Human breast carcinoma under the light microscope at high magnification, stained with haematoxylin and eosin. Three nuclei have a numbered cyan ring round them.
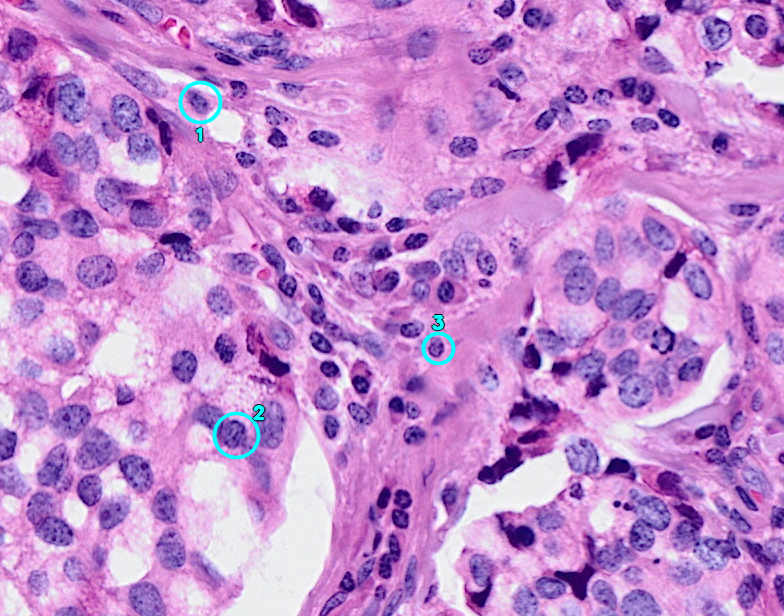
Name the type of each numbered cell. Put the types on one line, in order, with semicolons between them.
mast cell; carcinoma cell; lymphocyte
